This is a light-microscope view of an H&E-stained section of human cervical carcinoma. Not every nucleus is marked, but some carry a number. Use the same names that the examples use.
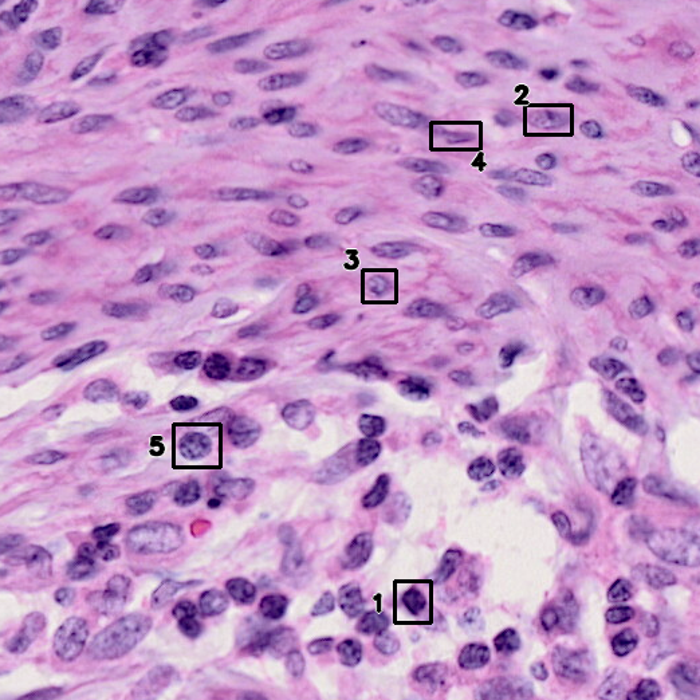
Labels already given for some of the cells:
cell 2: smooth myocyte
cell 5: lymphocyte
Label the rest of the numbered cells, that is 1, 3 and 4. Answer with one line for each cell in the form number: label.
1: lymphocyte
3: smooth myocyte
4: smooth myocyte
